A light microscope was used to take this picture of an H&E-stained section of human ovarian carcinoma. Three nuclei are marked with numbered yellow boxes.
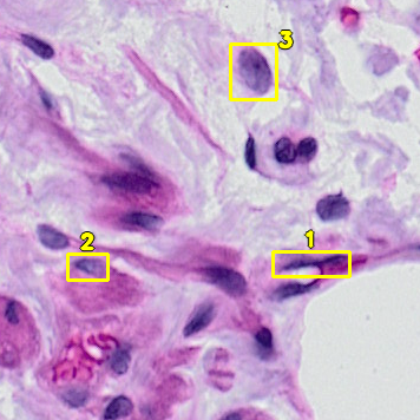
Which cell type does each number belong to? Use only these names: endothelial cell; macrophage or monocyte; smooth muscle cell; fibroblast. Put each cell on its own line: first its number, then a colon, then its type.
1: endothelial cell
2: smooth muscle cell
3: fibroblast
